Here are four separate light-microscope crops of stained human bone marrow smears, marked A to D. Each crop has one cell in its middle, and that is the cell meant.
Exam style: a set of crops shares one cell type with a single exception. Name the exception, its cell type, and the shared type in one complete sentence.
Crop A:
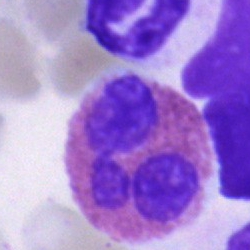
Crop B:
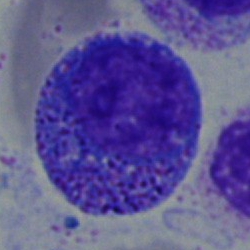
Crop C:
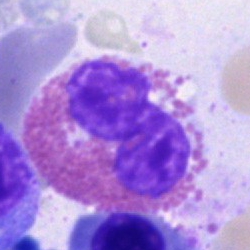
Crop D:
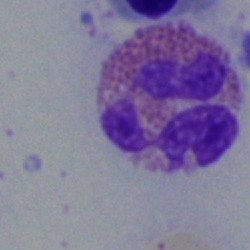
Among the crops, crop B is unique in showing a promyelocyte; the others show eosinophils.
